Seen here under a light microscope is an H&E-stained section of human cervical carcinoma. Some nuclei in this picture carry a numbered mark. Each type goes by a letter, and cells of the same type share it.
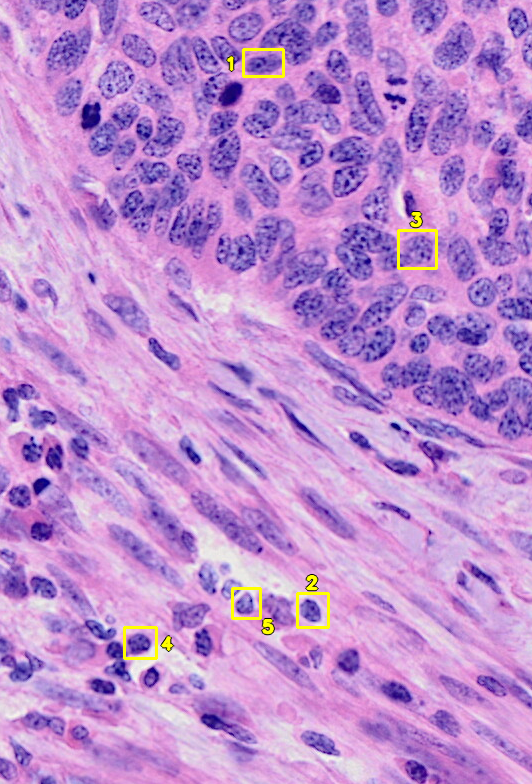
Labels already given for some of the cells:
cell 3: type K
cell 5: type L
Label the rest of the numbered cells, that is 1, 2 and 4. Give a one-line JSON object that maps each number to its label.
{"1": "type K", "2": "type L", "4": "type L"}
